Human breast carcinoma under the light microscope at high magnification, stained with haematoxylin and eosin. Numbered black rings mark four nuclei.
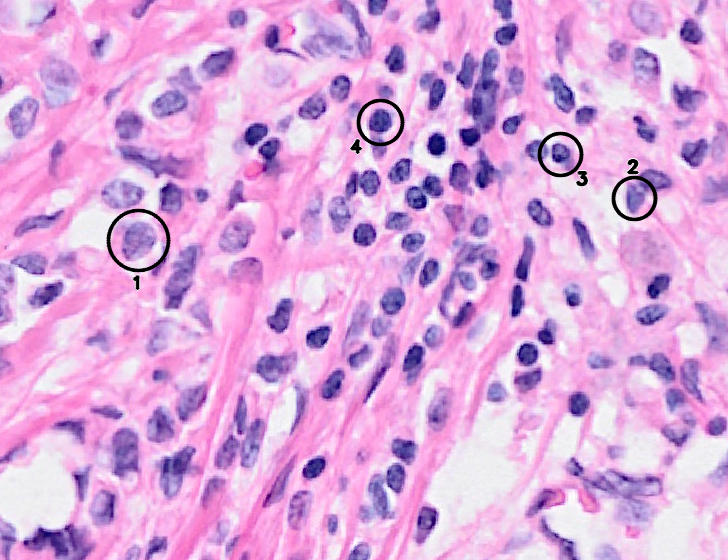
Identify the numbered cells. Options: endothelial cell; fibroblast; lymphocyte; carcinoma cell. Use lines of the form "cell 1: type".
cell 1: carcinoma cell
cell 2: lymphocyte
cell 3: lymphocyte
cell 4: lymphocyte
